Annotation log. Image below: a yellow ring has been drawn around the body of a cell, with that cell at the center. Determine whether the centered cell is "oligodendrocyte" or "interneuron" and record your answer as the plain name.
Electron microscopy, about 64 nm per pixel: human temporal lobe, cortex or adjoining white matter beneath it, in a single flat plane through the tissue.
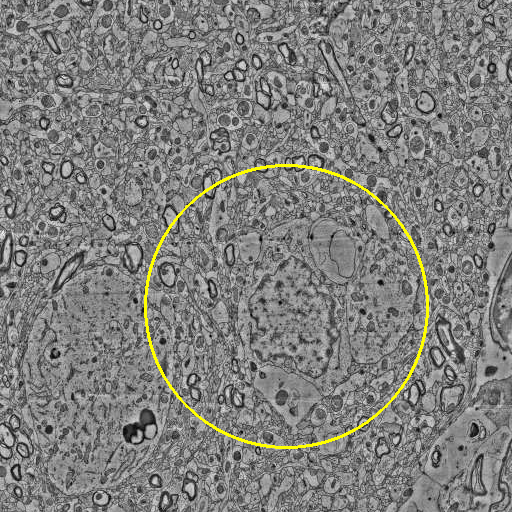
interneuron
